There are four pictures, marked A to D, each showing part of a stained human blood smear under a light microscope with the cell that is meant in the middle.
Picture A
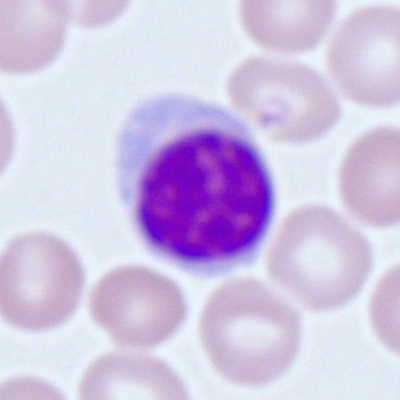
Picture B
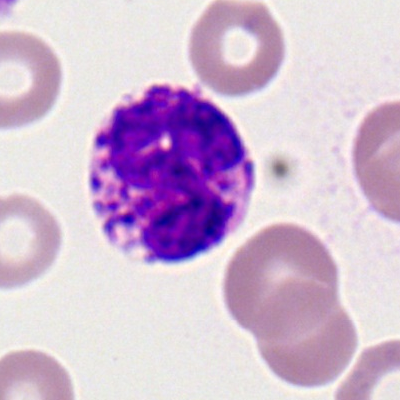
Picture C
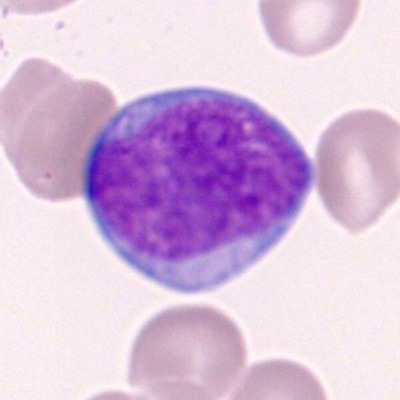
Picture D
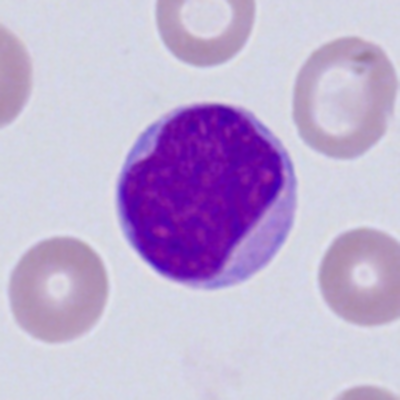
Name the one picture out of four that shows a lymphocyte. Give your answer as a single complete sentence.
Picture A shows the lymphocyte.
